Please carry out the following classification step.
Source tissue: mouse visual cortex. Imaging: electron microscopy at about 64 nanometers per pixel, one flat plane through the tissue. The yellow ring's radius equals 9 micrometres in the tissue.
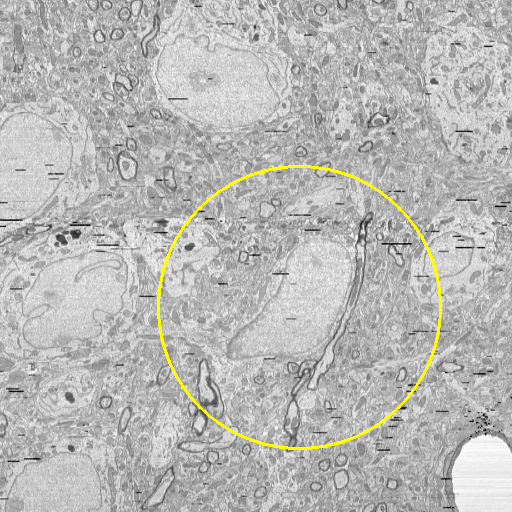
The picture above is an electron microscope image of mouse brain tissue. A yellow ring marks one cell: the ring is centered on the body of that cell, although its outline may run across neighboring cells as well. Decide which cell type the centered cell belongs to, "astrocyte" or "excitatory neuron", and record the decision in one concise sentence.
The cell centered in the yellow ring is an astrocyte.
